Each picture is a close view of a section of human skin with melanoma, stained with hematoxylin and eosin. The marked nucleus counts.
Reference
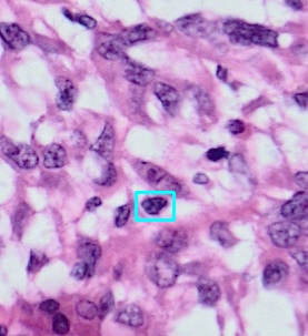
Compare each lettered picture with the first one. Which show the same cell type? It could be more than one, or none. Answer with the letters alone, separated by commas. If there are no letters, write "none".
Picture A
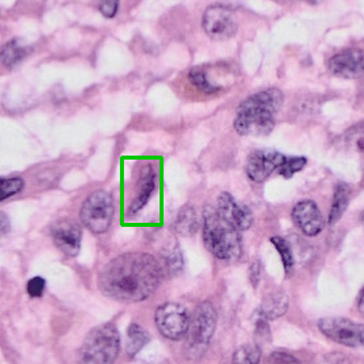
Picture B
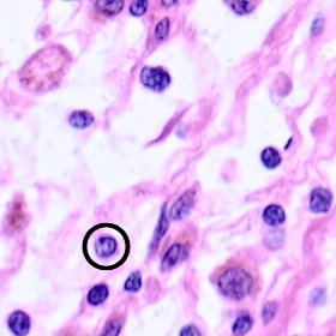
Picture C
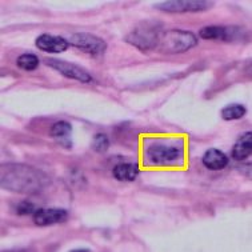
B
